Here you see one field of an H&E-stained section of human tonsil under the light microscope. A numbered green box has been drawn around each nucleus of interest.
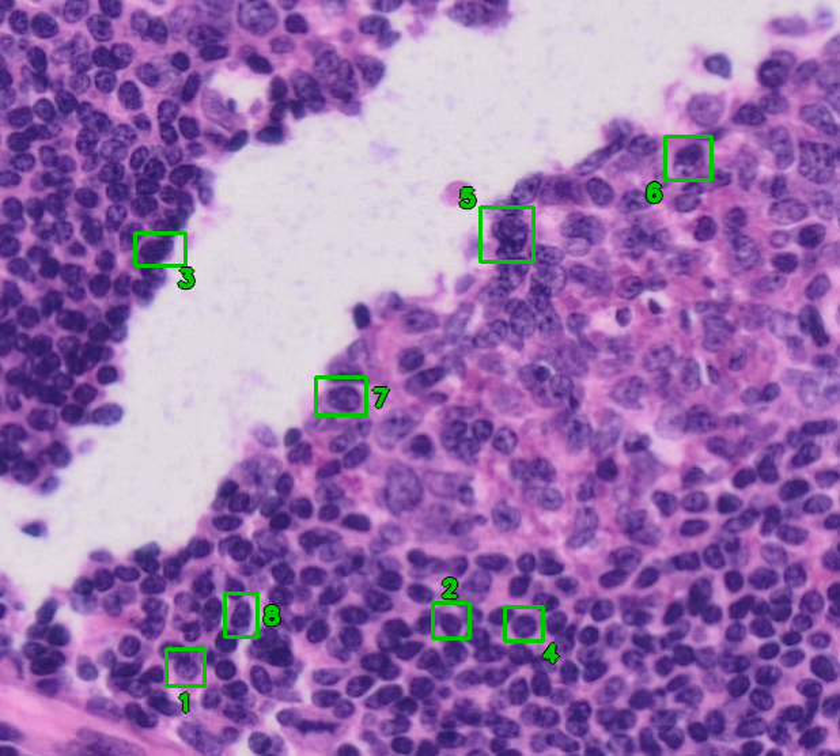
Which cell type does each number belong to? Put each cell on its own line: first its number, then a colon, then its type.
1: small lymphocyte
2: small lymphocyte
3: small lymphocyte
4: small lymphocyte
5: proliferating B cell
6: proliferating B cell
7: proliferating B cell
8: small lymphocyte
